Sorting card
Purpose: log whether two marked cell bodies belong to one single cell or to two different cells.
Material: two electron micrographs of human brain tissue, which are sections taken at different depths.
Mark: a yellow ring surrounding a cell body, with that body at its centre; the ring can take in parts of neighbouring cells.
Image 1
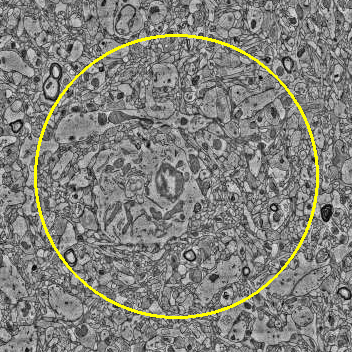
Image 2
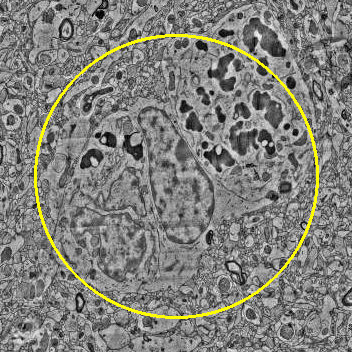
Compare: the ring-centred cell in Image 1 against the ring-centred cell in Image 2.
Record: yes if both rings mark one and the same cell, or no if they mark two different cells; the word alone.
yes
